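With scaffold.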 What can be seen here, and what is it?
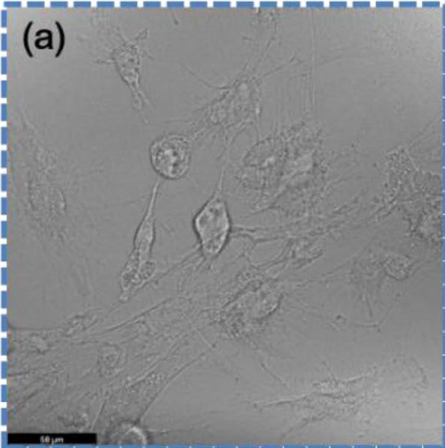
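Several cells are rounded or polygonal with a clearly outlined body and a rounded nucleus-like region in the centre, while others are drawn out into slender spindle shapes with long thin processes that reach toward neighbouring cells. The cytoplasm of some cells looks granular, with small dark dots gathered around the centre. Faint, flattened outlines of further cells lie in the background, and fine threads link several of the cells, giving a loose network rather than a dense sheet.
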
